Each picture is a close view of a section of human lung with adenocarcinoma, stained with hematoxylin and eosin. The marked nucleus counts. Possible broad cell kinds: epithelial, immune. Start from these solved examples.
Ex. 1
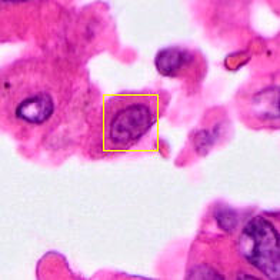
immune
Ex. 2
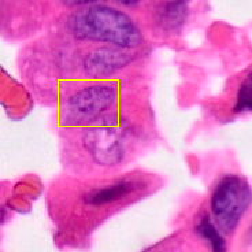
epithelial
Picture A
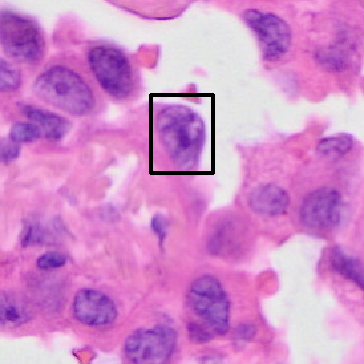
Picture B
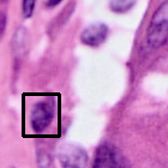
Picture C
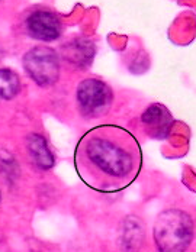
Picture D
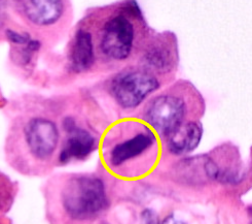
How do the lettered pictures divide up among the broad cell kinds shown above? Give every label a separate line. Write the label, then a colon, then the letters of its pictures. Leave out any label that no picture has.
epithelial: A, D
immune: B, C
